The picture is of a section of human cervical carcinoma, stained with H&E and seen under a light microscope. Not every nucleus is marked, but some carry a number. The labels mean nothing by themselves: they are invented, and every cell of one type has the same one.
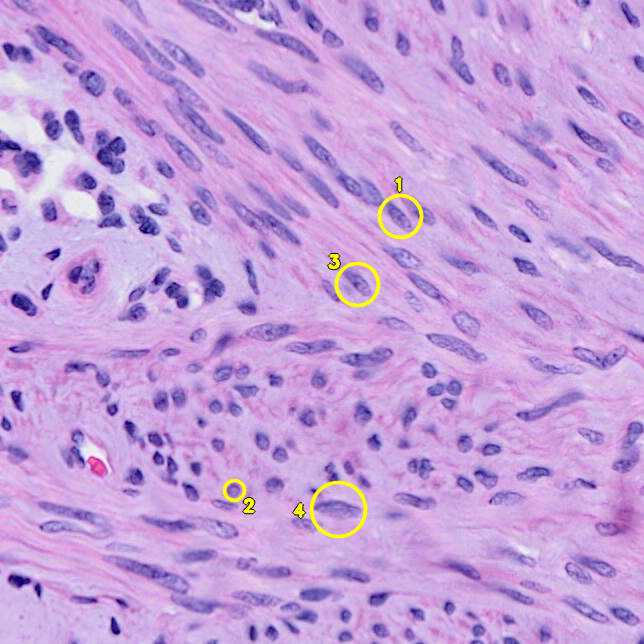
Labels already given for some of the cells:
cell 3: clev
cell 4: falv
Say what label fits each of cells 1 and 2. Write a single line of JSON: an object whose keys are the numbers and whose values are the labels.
{"1": "clev", "2": "clev"}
